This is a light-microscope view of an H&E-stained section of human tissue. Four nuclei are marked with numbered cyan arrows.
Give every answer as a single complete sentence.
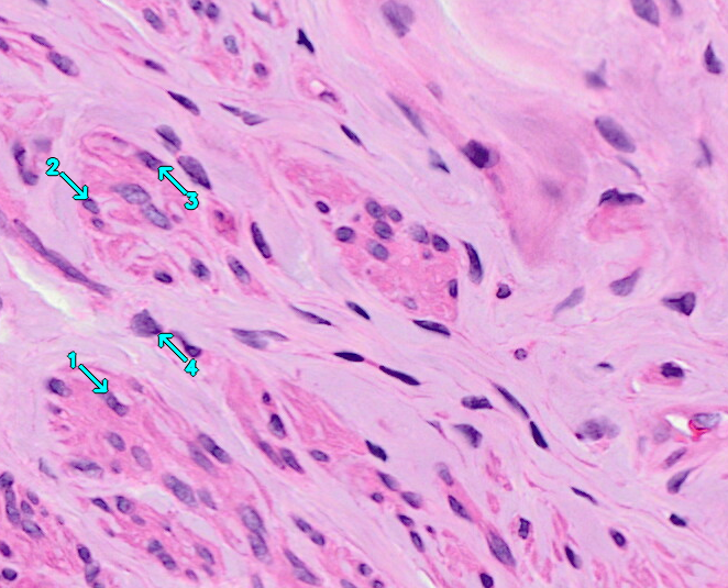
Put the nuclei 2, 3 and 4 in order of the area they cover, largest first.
The nuclei rank 4, 3, 2, from largest to smallest.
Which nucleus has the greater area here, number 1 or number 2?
Of the two, number 1 is bigger and takes up about 2 times the area of number 2.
